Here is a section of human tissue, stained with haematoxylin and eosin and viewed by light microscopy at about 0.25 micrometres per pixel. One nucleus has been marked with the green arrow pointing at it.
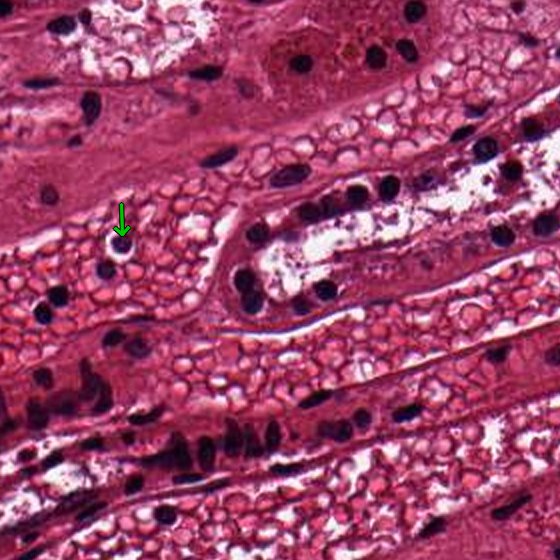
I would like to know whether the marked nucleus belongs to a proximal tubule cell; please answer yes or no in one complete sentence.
No, the marked nucleus is not from a proximal tubule cell; a supporting cell is its source.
